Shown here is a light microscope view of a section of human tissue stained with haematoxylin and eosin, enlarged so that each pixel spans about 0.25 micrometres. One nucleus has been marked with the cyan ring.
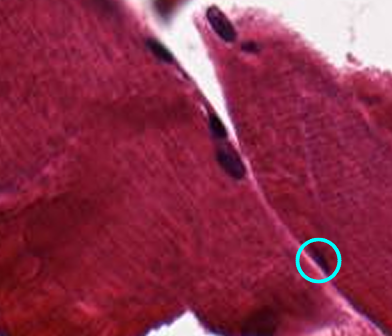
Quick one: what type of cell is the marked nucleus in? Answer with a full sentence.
The nucleus that has been marked belongs to a skeletal muscle fibre.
